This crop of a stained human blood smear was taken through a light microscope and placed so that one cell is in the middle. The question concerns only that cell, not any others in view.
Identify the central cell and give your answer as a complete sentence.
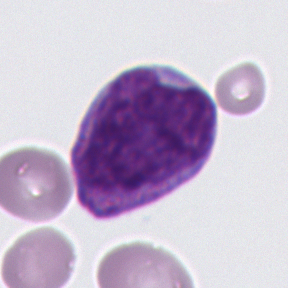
Of the cells in this crop, the central one is an atypical promyelocyte.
